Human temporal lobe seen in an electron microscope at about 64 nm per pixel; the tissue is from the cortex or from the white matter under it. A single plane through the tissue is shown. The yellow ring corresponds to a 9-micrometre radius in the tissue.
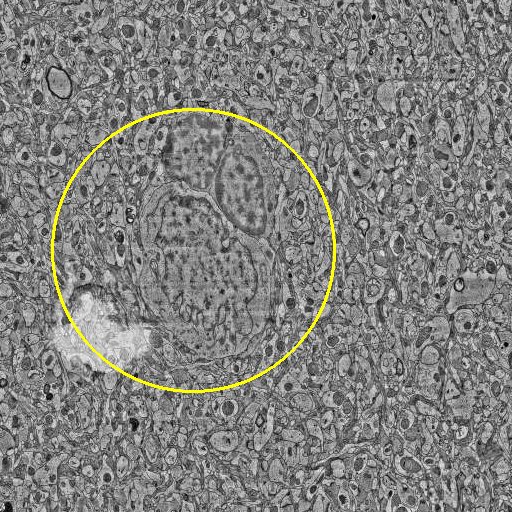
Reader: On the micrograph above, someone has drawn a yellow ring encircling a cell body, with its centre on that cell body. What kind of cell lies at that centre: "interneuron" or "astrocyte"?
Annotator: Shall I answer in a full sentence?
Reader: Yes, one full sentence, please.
Here an interneuron sits at the centre of the yellow ring drawn on the micrograph.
